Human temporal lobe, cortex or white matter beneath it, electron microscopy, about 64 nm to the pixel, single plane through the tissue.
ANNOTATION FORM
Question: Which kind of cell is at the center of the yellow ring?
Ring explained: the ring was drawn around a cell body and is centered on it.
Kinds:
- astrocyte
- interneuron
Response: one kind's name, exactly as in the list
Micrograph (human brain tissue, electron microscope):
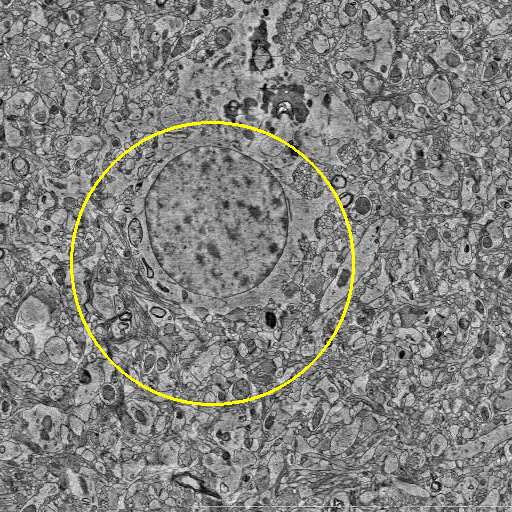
astrocyte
